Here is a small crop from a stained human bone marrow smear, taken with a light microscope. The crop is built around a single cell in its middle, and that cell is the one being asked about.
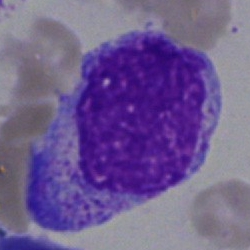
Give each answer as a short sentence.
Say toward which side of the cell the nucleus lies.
Toward the upper right of the cell lies its nucleus.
